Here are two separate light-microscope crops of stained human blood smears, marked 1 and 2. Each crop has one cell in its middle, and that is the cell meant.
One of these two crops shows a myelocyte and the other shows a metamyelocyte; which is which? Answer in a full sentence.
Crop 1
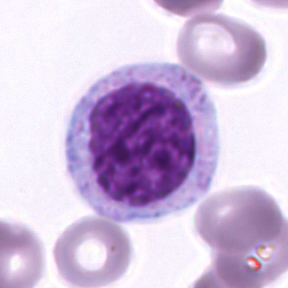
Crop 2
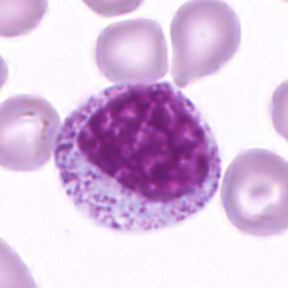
Crop 1 is classified as a myelocyte, and crop 2 as a metamyelocyte.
